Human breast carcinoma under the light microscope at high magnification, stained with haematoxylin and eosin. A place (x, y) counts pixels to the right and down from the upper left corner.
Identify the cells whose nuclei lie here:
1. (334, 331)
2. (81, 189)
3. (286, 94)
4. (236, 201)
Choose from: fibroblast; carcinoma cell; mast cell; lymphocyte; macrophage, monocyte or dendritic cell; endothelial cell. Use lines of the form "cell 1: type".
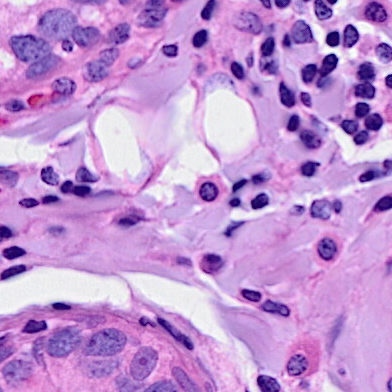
cell 1: fibroblast
cell 2: lymphocyte
cell 3: lymphocyte
cell 4: lymphocyte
